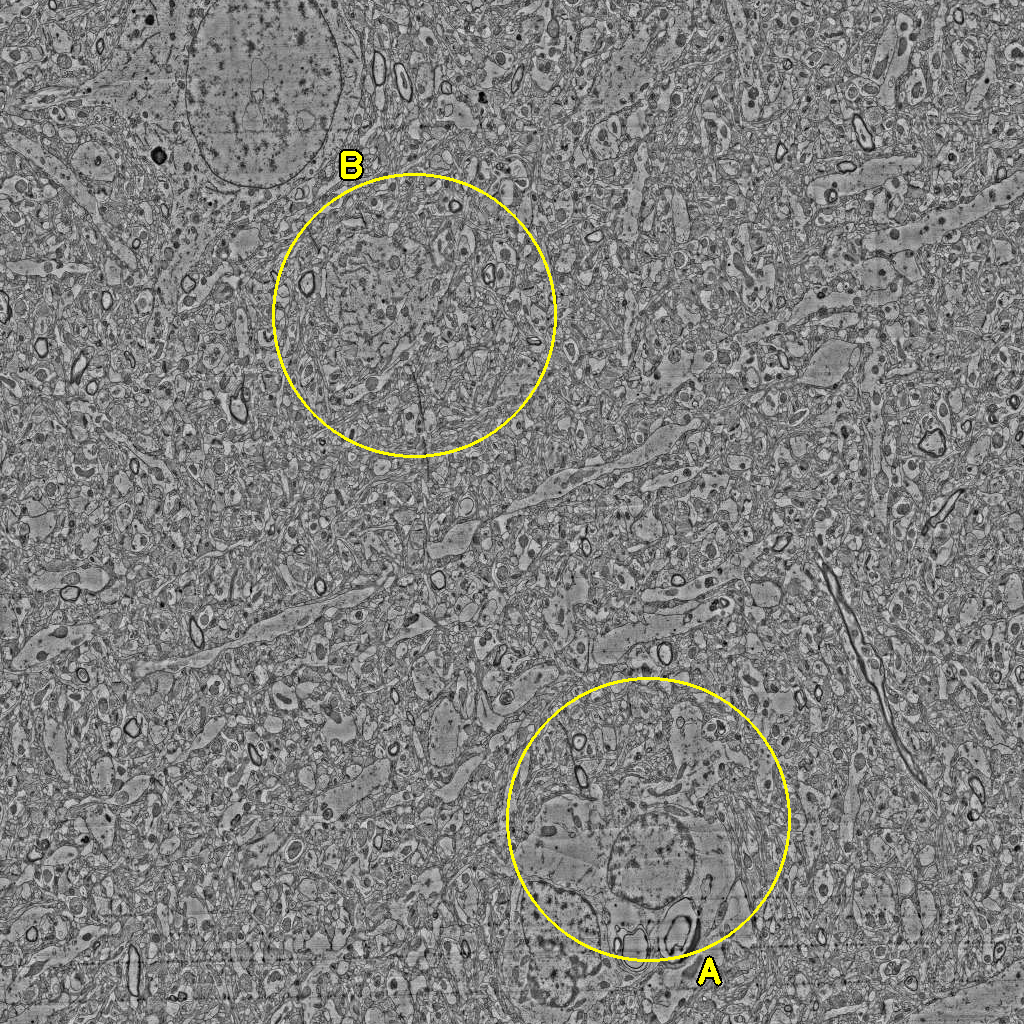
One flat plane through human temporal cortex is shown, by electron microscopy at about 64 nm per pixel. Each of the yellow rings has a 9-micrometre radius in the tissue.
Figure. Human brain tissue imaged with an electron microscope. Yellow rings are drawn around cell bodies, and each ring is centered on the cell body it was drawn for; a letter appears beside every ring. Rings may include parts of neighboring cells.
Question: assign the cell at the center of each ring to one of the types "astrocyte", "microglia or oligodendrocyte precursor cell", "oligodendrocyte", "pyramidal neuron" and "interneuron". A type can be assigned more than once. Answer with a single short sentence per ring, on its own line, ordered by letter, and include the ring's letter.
Centered in ring A is an astrocyte.
Centered in ring B is a pyramidal neuron.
